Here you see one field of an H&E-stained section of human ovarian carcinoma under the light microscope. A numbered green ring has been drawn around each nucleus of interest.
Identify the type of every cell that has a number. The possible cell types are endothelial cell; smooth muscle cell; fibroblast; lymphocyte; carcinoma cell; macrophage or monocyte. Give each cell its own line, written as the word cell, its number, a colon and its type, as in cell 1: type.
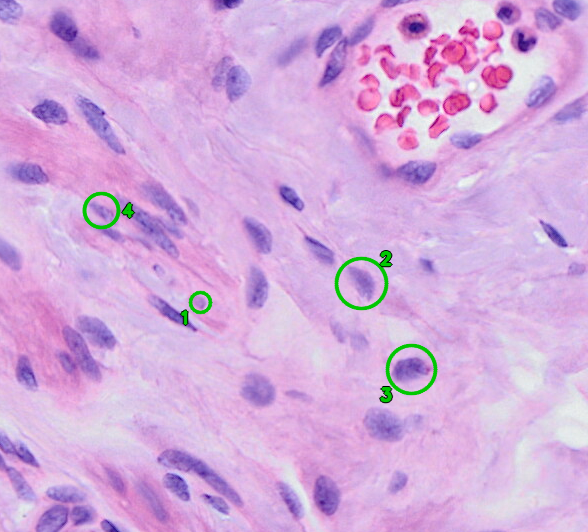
cell 1: smooth muscle cell
cell 2: fibroblast
cell 3: fibroblast
cell 4: smooth muscle cell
